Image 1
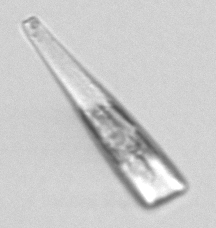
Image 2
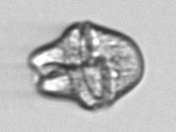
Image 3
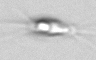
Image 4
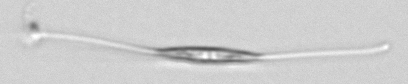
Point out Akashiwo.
That is picture 2.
